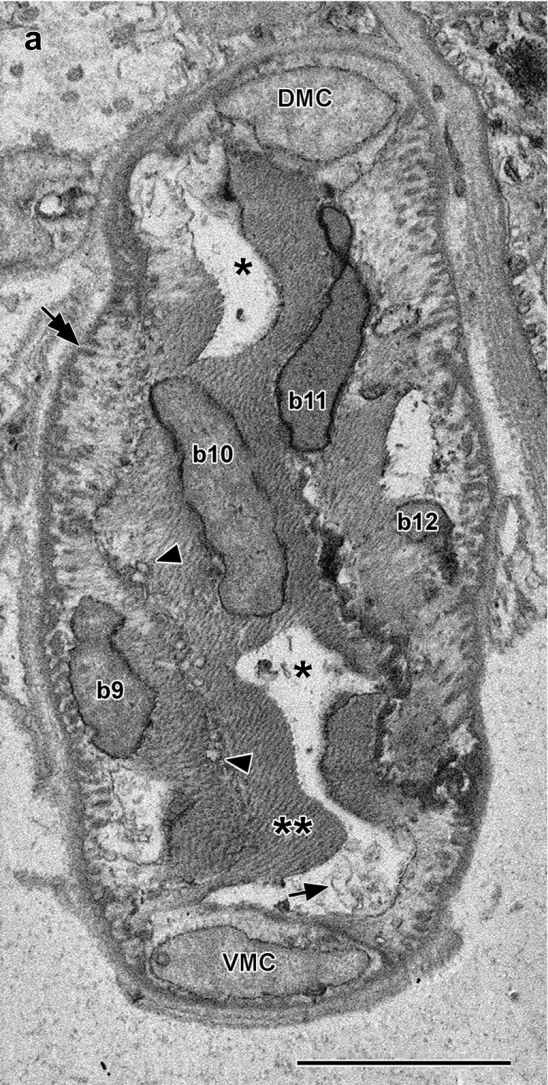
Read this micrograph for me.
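Parts of stacked, flattened lamellar cells fill an oval sheath, with one cell cap at the top and one at the bottom. Pale, almost empty vacuoles lie above and below one of the nuclei.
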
